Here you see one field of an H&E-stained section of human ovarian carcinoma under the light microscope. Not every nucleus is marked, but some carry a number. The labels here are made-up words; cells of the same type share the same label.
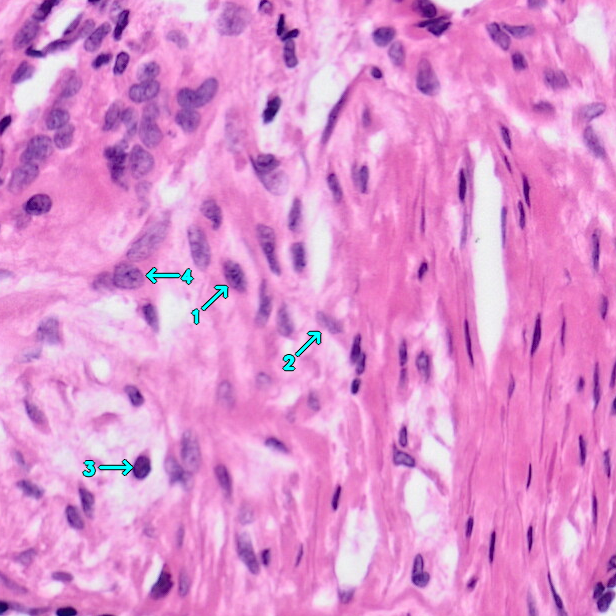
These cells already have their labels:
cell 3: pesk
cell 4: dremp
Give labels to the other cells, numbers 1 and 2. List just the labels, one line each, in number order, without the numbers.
dremp
dremp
